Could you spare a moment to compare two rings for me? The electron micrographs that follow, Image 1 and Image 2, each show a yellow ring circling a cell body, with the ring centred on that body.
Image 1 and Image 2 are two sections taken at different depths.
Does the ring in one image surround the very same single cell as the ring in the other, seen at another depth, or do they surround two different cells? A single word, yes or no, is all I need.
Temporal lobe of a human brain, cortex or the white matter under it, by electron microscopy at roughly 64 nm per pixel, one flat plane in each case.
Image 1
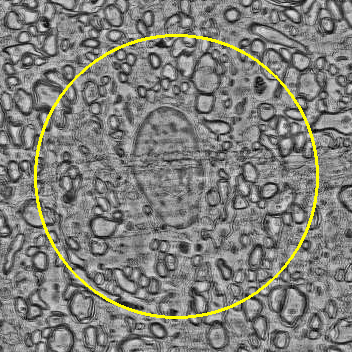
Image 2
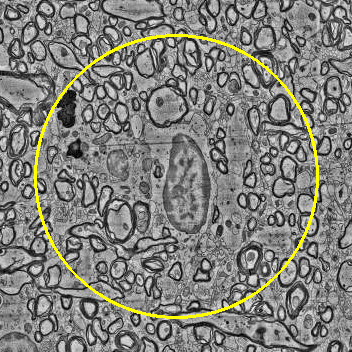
yes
